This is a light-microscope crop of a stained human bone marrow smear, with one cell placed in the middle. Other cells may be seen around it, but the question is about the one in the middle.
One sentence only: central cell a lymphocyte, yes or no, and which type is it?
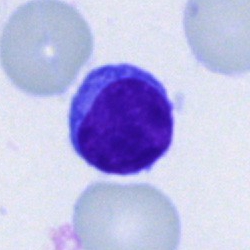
Yes, the cell in the middle has the identity of a lymphocyte.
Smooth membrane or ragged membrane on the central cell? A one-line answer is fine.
Its periphery is smooth, and no projections arise from it.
